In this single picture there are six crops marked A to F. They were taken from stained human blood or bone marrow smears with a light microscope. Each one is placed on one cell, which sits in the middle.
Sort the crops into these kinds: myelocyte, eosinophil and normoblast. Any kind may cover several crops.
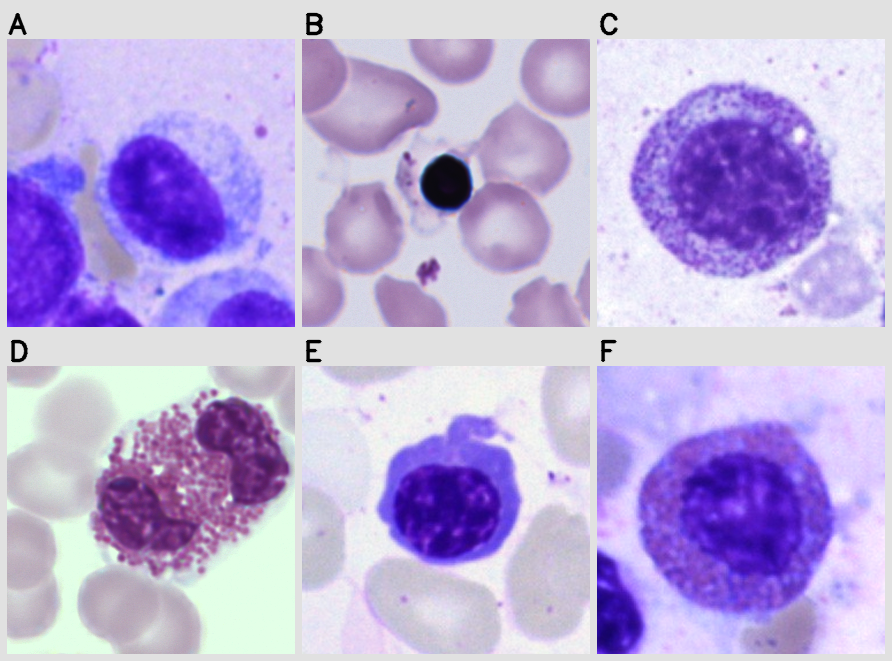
A: myelocyte
B: normoblast
C: myelocyte
D: eosinophil
E: normoblast
F: eosinophil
